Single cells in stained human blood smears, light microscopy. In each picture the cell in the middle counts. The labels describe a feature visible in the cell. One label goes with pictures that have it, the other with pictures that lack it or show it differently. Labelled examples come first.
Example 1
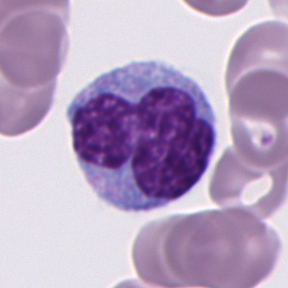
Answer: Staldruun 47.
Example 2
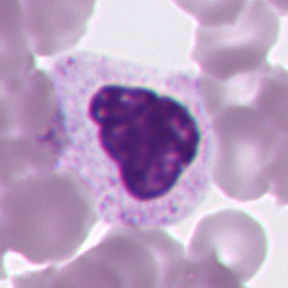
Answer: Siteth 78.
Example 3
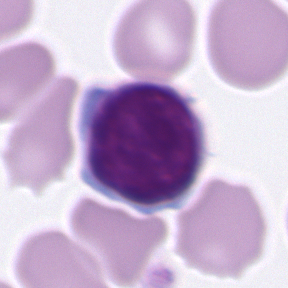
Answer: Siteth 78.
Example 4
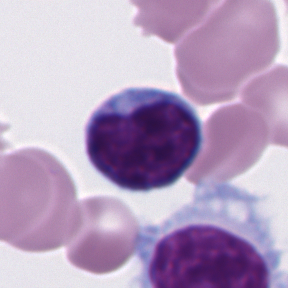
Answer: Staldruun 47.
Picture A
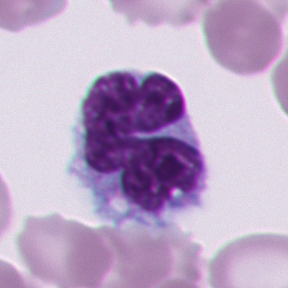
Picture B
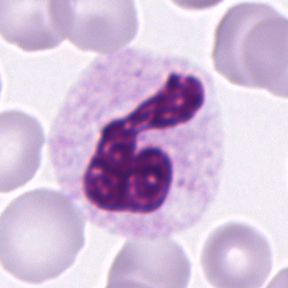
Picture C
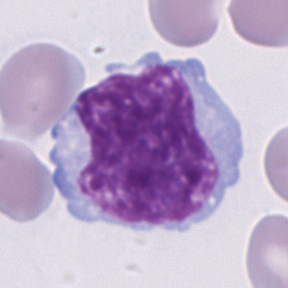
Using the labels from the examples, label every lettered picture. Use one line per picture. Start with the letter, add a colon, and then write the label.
A: Siteth 78.
B: Staldruun 47.
C: Siteth 78.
